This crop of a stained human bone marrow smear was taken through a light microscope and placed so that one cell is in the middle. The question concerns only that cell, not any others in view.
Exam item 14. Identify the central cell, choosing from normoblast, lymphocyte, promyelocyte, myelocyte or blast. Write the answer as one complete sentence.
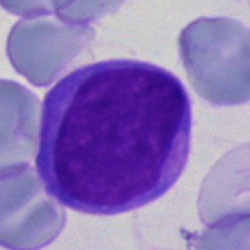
The cell featured at the centre of this crop is a blast.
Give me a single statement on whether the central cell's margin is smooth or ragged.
You can see a smooth boundary, with no projections sticking out.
